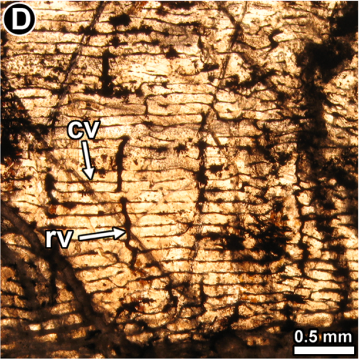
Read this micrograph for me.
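Many thin dark canals run as long parallel lines across the pale bone, stacked closely one above another. Larger dark canals run across them at an angle, radial canals, joining several of the circumferential ones. Between the canals lies light tan bone matrix. Dark irregular cracks and staining cut through the section.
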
